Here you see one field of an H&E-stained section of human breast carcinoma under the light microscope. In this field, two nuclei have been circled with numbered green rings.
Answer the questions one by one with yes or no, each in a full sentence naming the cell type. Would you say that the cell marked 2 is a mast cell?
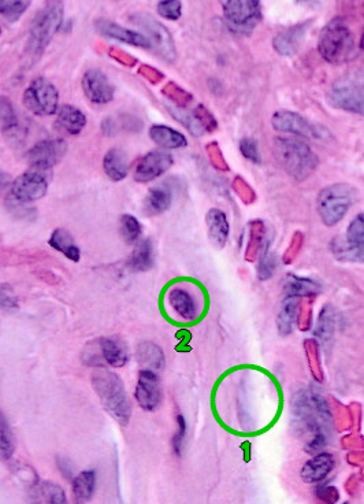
Yes, the marked cell number 2 is a mast cell.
